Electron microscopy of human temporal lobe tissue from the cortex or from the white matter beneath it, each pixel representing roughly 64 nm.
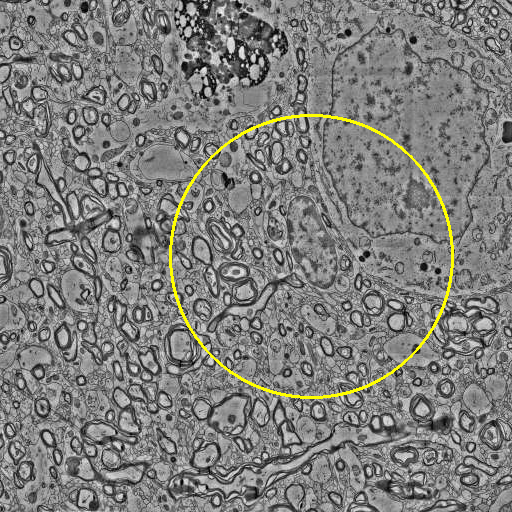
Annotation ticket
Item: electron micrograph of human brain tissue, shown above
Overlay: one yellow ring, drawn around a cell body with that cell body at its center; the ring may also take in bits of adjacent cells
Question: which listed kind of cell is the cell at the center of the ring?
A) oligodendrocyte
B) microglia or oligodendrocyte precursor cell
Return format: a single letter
B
